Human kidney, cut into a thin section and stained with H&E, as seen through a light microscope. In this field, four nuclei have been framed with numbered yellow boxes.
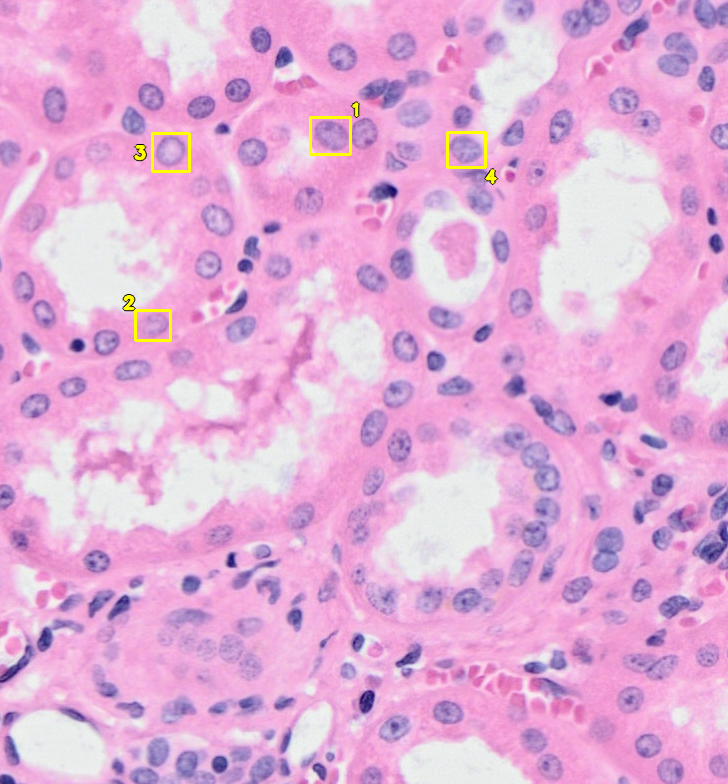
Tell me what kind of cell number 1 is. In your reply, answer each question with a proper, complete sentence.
Of the numbered cells, the one labelled 1 is a proximal tubule cell.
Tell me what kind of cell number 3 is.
The correct answer for cell 3 is a proximal tubule cell.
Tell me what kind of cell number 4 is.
Here the cell numbered 4 is a collecting duct cell.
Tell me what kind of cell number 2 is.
The cell numbered 2 represents a proximal tubule cell.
